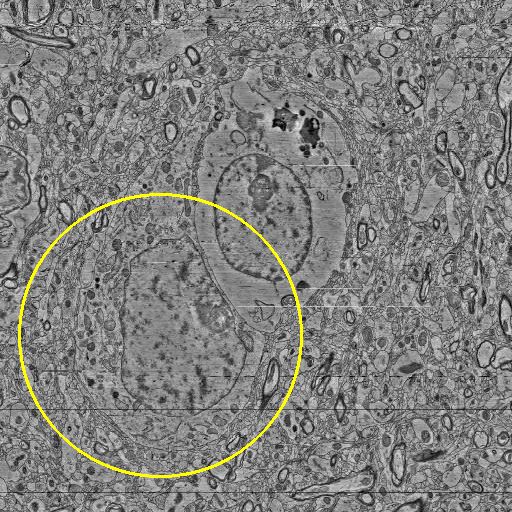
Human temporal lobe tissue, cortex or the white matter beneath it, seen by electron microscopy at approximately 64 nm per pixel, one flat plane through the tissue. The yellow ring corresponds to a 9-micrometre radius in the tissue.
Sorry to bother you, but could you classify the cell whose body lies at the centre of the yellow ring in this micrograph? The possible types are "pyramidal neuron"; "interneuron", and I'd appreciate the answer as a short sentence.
The ringed cell body is that of an interneuron.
